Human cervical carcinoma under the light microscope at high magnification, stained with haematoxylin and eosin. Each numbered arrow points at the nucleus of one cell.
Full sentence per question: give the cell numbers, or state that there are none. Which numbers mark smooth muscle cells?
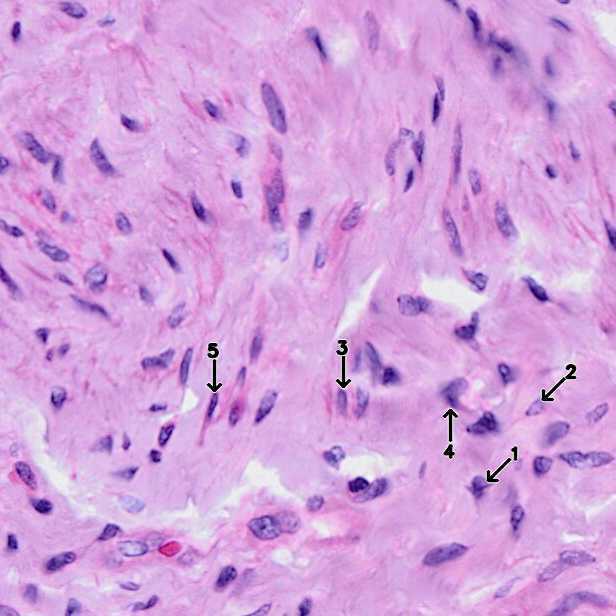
Identified as smooth muscle cells are the cells numbered 3 and 5.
